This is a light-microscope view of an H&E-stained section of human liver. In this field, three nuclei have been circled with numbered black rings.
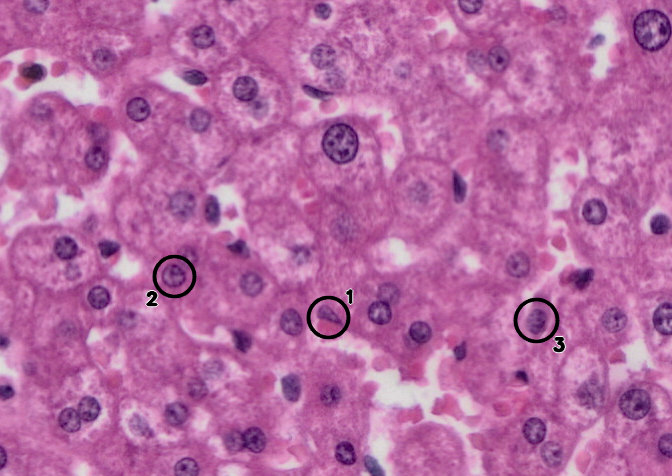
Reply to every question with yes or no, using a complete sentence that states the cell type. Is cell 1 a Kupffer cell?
No, cell number 1 is an endothelial cell; it is not a Kupffer cell.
